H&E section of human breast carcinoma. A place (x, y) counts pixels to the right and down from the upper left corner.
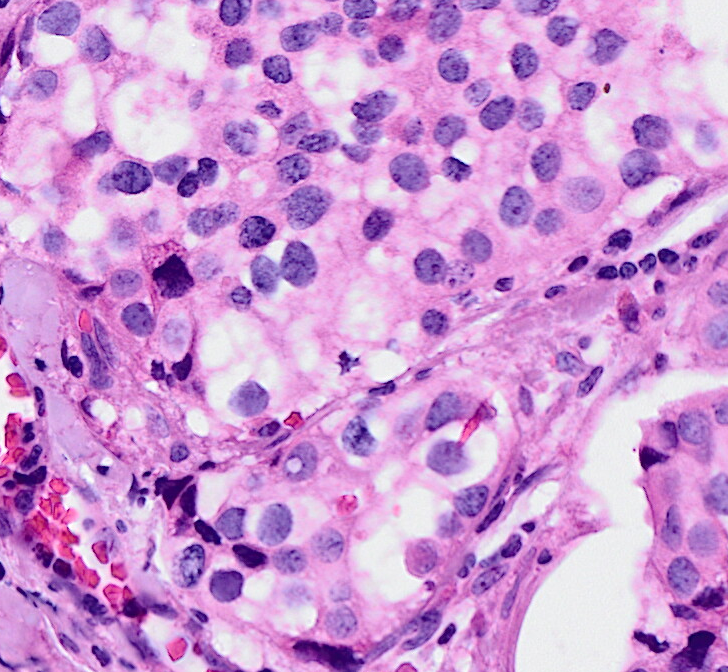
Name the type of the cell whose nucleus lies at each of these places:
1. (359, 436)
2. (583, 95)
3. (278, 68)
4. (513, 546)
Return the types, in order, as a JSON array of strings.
["carcinoma cell", "carcinoma cell", "carcinoma cell", "lymphocyte"]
